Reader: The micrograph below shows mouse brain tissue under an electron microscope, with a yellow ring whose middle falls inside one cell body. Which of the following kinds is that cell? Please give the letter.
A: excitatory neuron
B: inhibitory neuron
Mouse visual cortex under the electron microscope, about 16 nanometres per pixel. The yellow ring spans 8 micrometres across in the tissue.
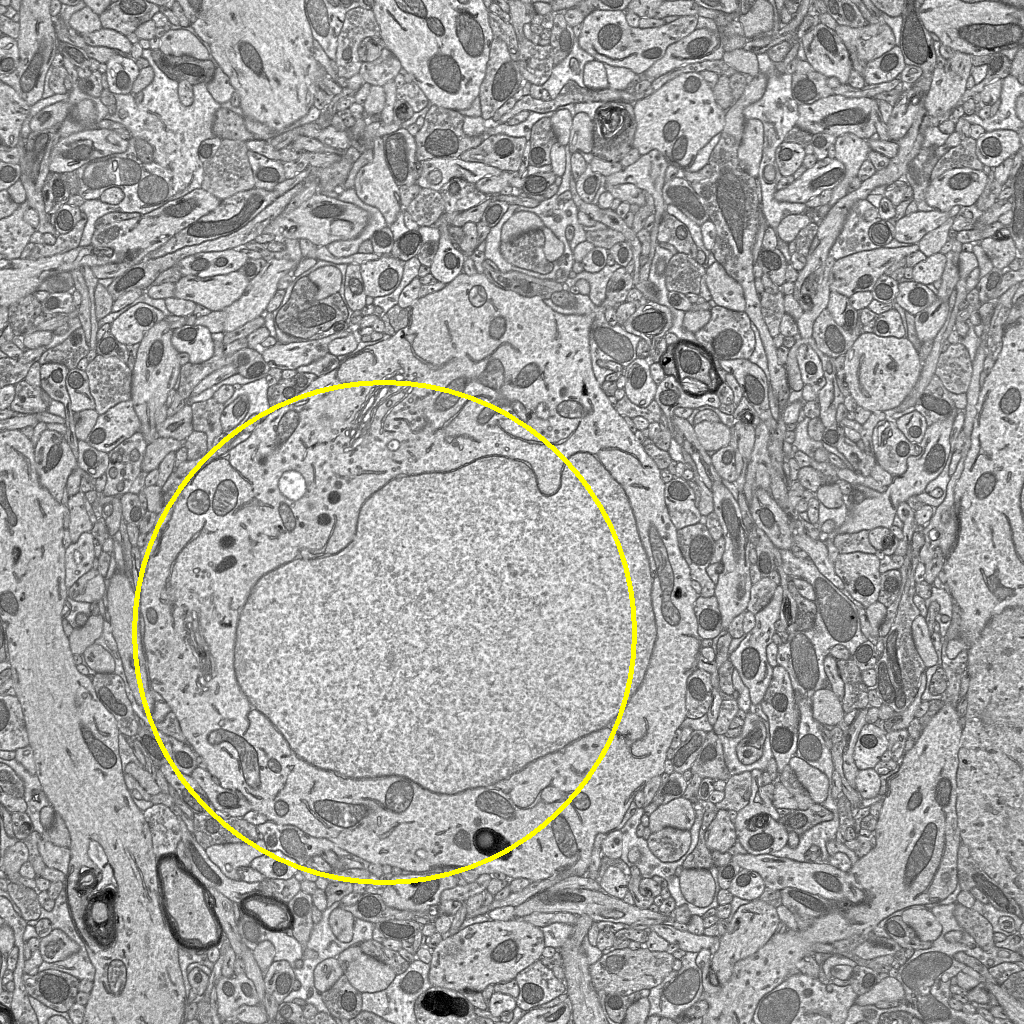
A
